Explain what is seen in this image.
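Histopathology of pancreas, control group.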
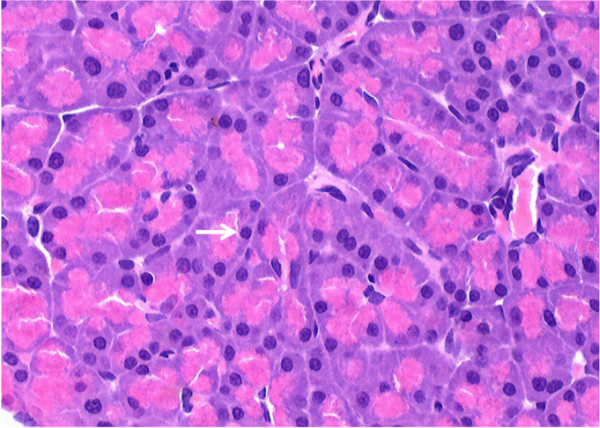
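The nuclei are round, dark purple and sit toward the base of each cell. The part of the cytoplasm facing the lumen is bright pink and granular, while the basal cytoplasm stains purple. Thin strands of connective tissue separate the acini, and a small vessel containing red blood cells is visible.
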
